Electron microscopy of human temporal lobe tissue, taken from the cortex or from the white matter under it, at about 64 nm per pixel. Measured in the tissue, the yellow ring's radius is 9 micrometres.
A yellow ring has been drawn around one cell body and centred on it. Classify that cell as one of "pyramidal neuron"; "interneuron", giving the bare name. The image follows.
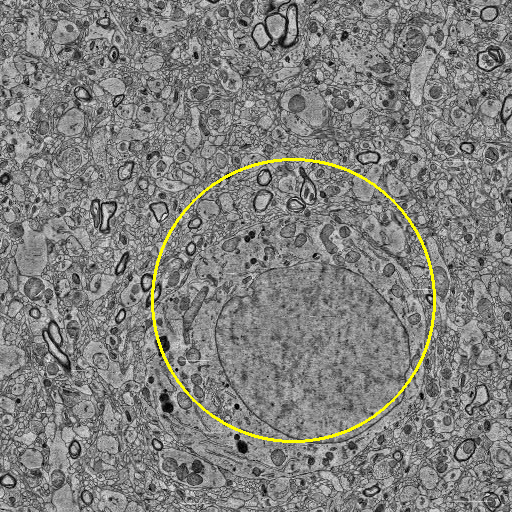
interneuron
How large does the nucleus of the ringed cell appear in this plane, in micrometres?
Approximately 12 micrometers across in this plane.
